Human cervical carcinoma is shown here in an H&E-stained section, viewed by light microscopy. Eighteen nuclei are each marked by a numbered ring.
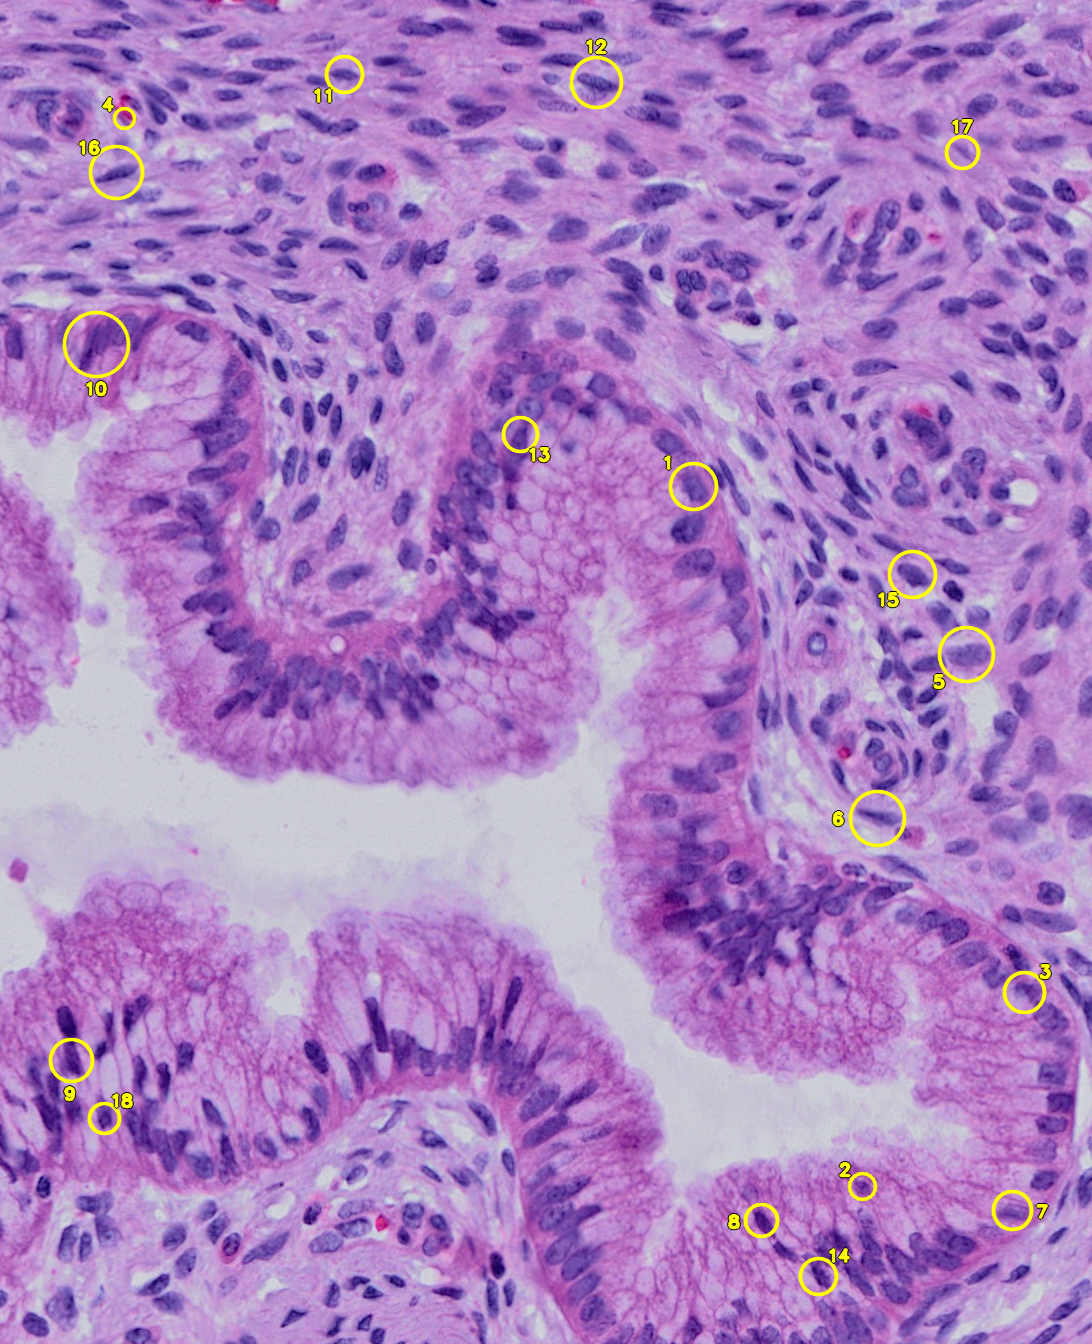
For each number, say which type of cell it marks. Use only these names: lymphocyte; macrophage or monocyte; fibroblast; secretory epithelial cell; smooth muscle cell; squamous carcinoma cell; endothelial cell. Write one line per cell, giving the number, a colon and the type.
1: secretory epithelial cell
2: secretory epithelial cell
3: secretory epithelial cell
4: endothelial cell
5: fibroblast
6: fibroblast
7: secretory epithelial cell
8: secretory epithelial cell
9: secretory epithelial cell
10: secretory epithelial cell
11: fibroblast
12: fibroblast
13: secretory epithelial cell
14: secretory epithelial cell
15: fibroblast
16: fibroblast
17: fibroblast
18: secretory epithelial cell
